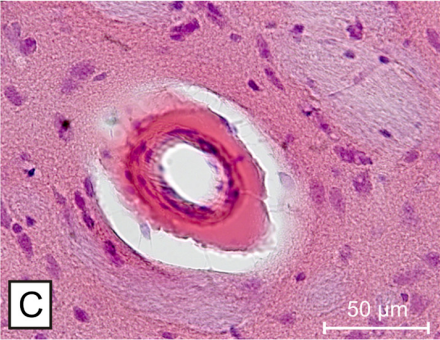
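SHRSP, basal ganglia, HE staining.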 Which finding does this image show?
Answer: Lipohyalinosis.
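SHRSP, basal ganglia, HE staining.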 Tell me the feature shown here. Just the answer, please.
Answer: enlarged perivascular spaces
